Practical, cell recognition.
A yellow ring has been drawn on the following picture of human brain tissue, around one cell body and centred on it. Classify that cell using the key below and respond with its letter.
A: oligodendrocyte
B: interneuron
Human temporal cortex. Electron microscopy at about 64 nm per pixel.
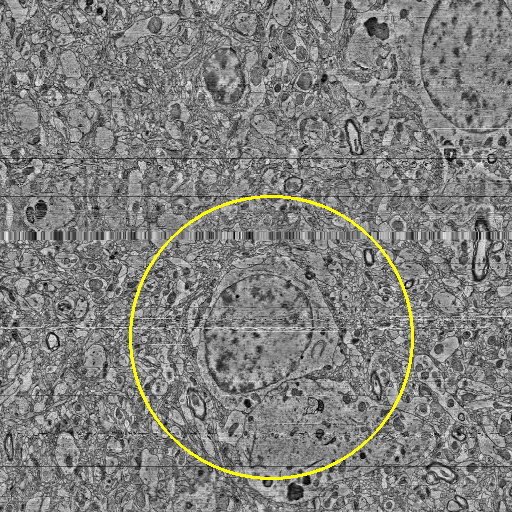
B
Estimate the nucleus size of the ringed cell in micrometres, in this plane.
The nucleus works out at approximately 8 by 7 micrometres in this plane.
